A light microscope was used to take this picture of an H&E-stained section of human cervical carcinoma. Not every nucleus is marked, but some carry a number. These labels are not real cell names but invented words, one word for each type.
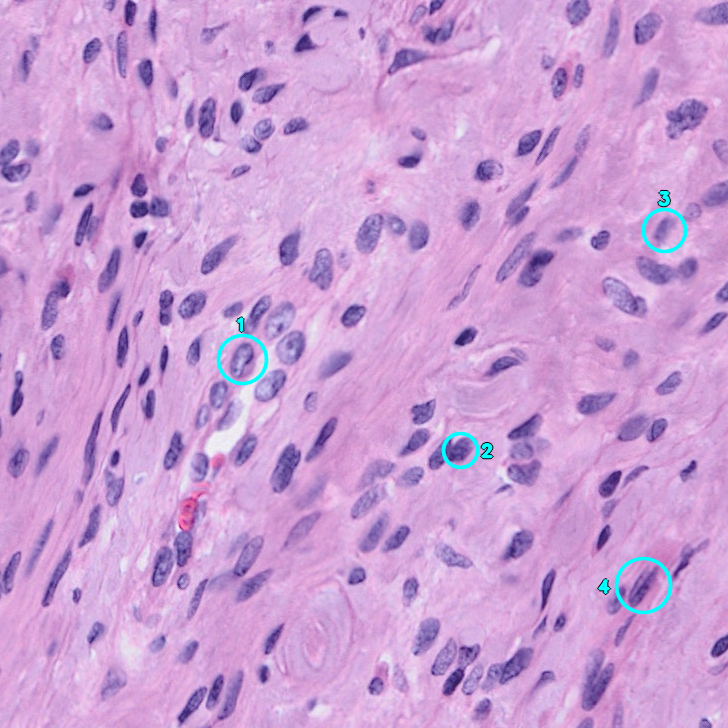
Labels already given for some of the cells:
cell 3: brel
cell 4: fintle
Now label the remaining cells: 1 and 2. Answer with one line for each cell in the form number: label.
1: fintle
2: brel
